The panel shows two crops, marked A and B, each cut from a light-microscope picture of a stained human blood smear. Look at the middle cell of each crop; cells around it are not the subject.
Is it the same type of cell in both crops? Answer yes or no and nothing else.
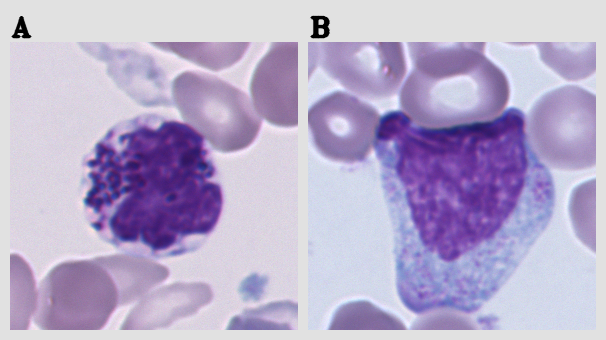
no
